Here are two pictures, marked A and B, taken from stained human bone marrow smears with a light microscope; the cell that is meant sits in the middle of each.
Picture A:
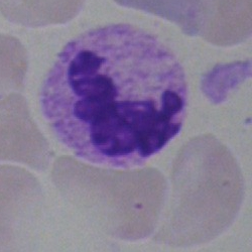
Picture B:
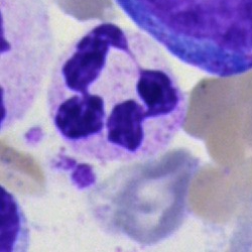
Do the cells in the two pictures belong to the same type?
yes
